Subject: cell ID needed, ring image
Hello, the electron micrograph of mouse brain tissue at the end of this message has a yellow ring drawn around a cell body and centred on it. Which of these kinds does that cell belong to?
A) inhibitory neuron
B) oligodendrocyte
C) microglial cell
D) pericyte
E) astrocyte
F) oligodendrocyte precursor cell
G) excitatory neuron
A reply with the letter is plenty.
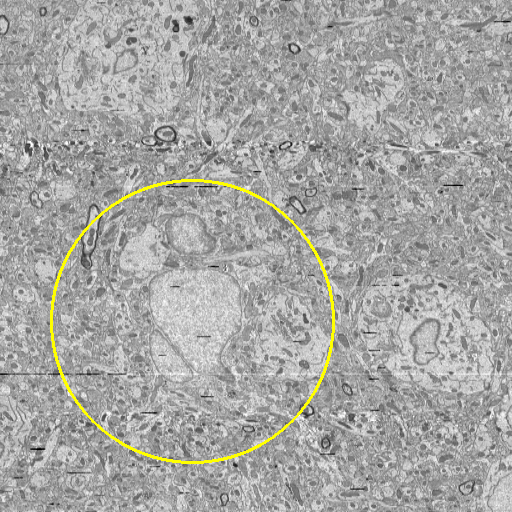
E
